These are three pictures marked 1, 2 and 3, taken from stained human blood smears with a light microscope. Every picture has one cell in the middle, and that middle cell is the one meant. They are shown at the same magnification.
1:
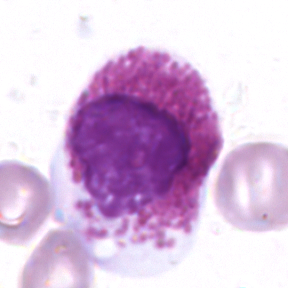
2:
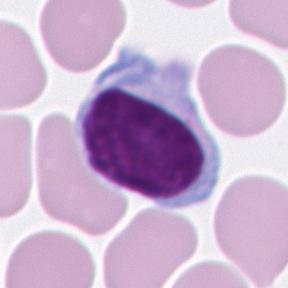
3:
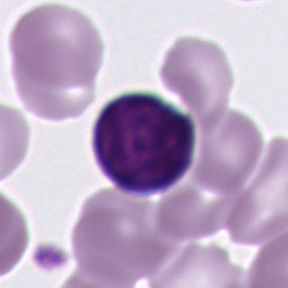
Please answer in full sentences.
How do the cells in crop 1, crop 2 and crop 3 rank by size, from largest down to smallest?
Going down, they run 1, 2, 3.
